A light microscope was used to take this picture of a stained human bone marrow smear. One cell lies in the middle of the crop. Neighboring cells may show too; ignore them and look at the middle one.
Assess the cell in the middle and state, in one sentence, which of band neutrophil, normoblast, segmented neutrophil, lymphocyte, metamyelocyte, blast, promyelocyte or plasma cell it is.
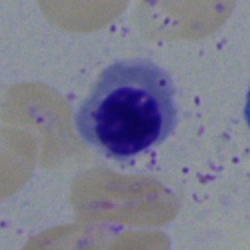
Whatever else lies nearby, the middle cell is a normoblast.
